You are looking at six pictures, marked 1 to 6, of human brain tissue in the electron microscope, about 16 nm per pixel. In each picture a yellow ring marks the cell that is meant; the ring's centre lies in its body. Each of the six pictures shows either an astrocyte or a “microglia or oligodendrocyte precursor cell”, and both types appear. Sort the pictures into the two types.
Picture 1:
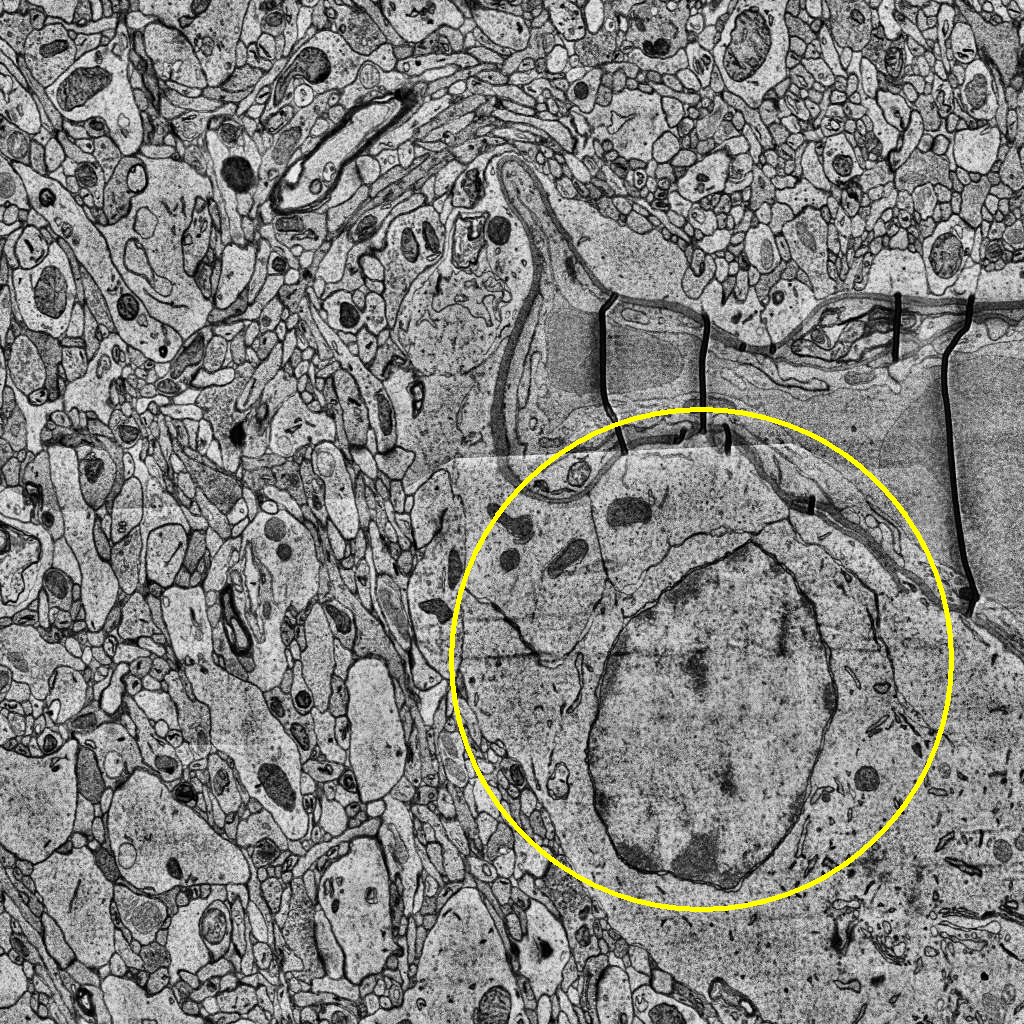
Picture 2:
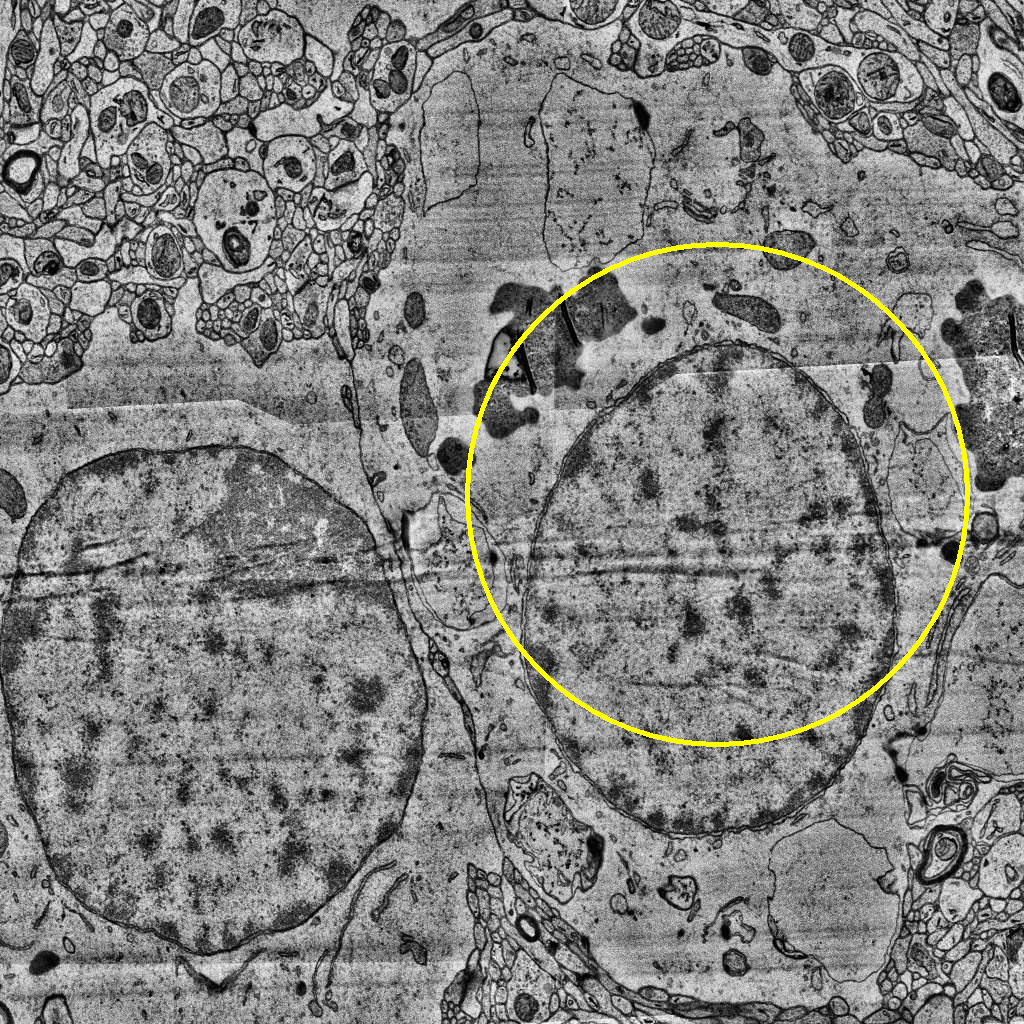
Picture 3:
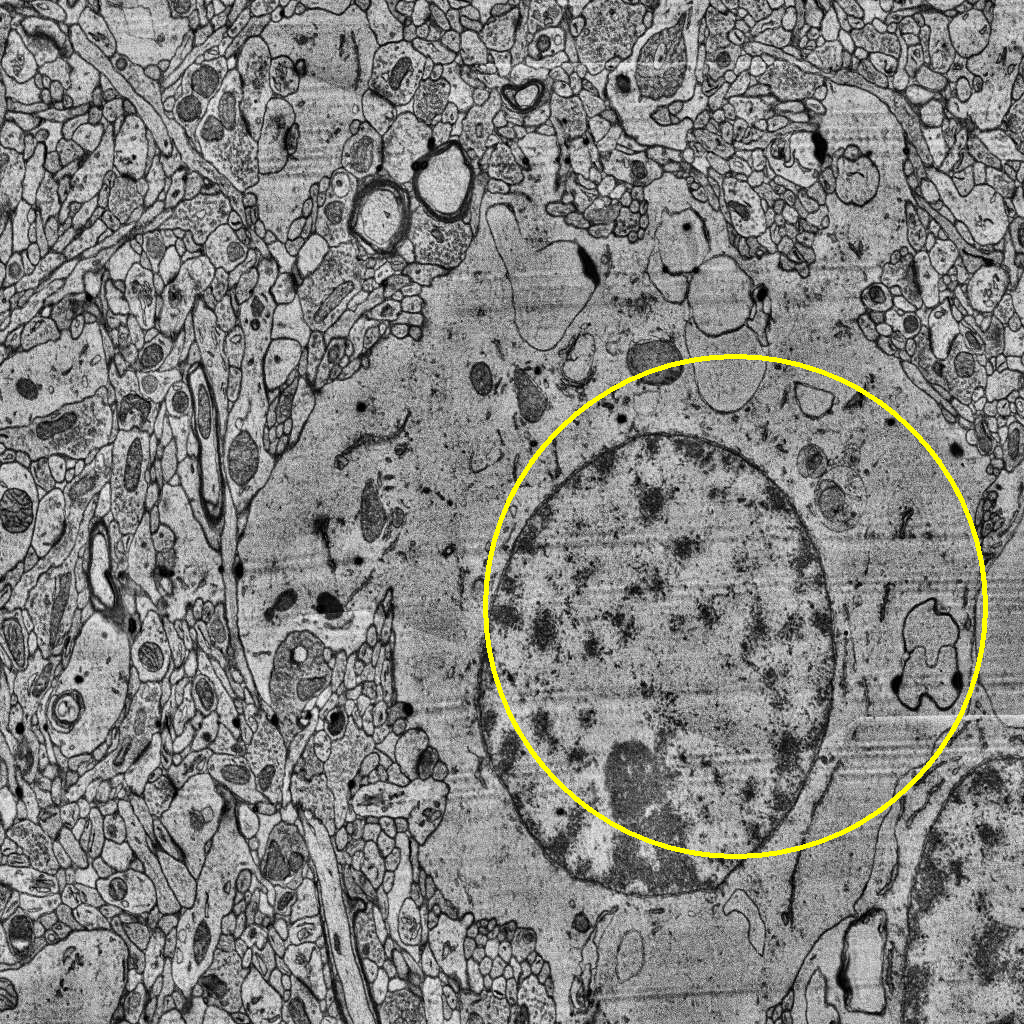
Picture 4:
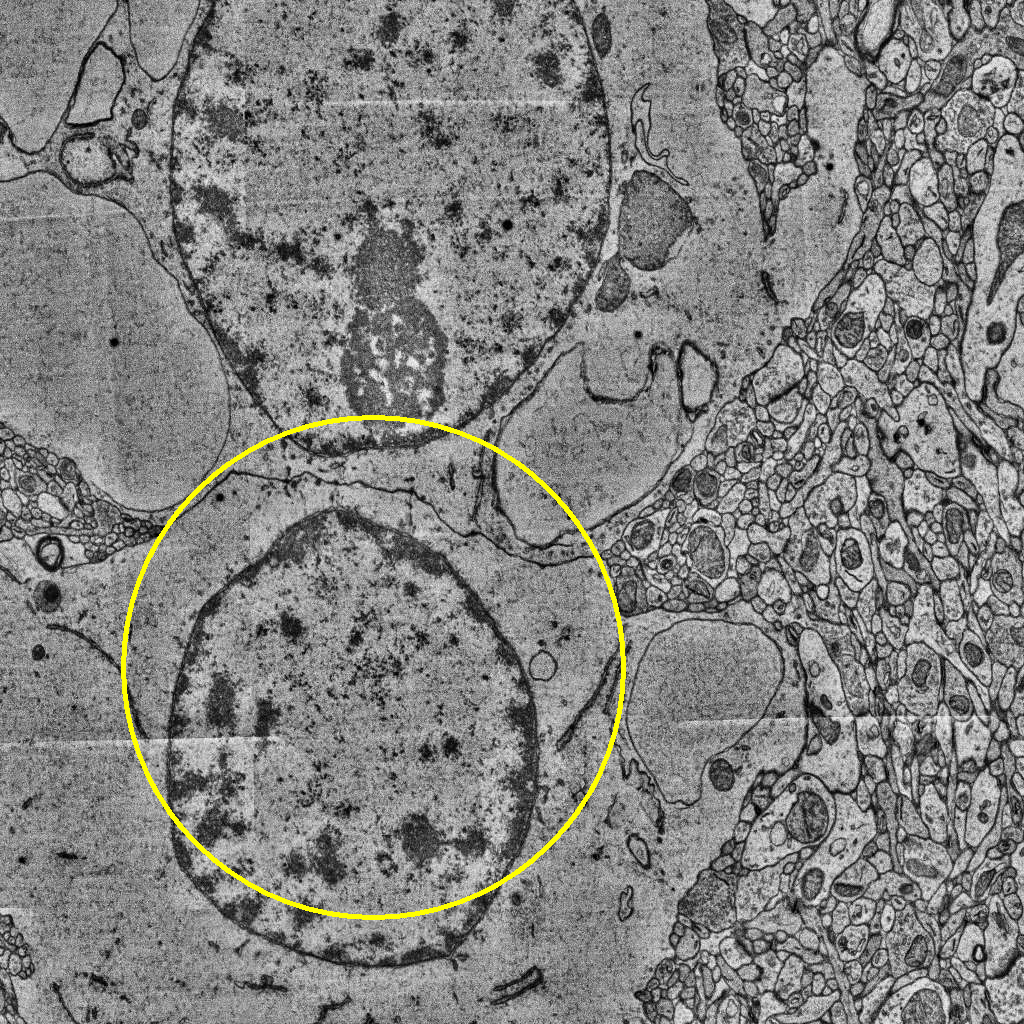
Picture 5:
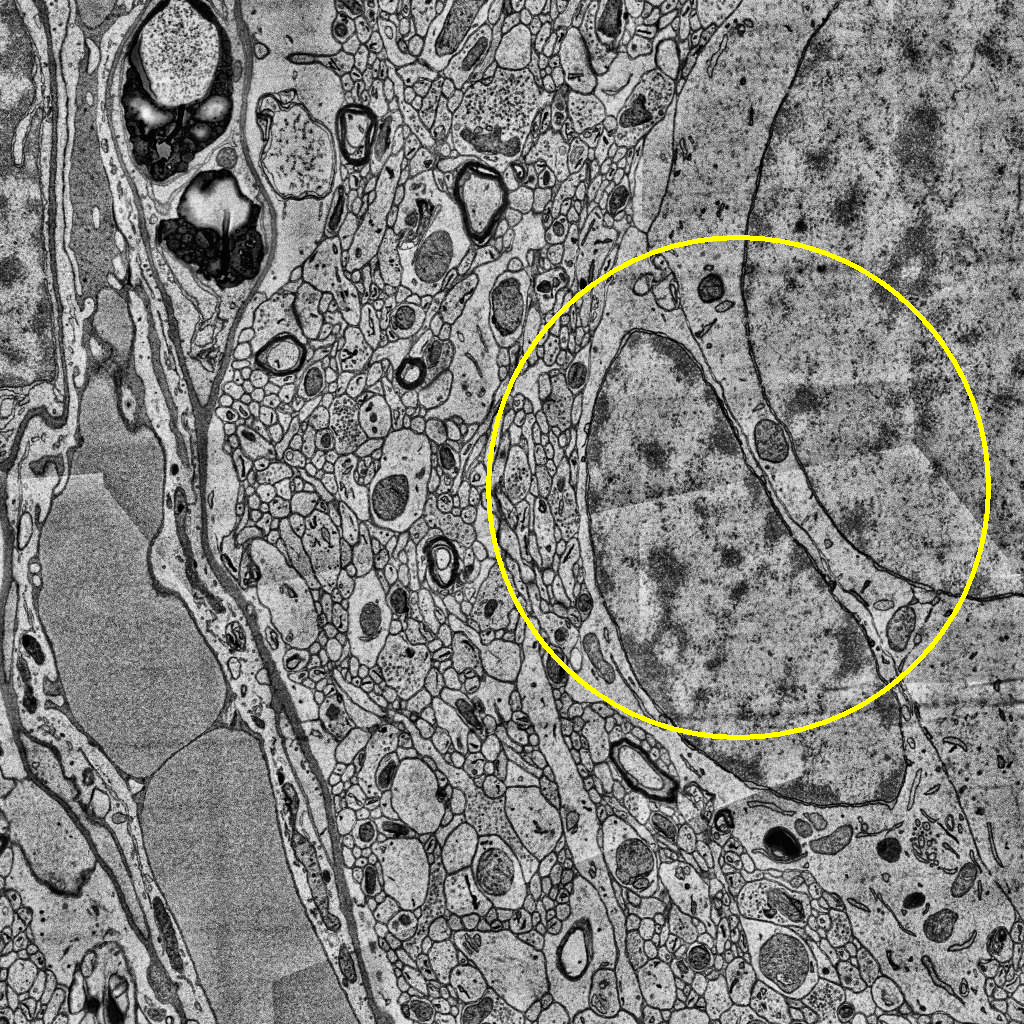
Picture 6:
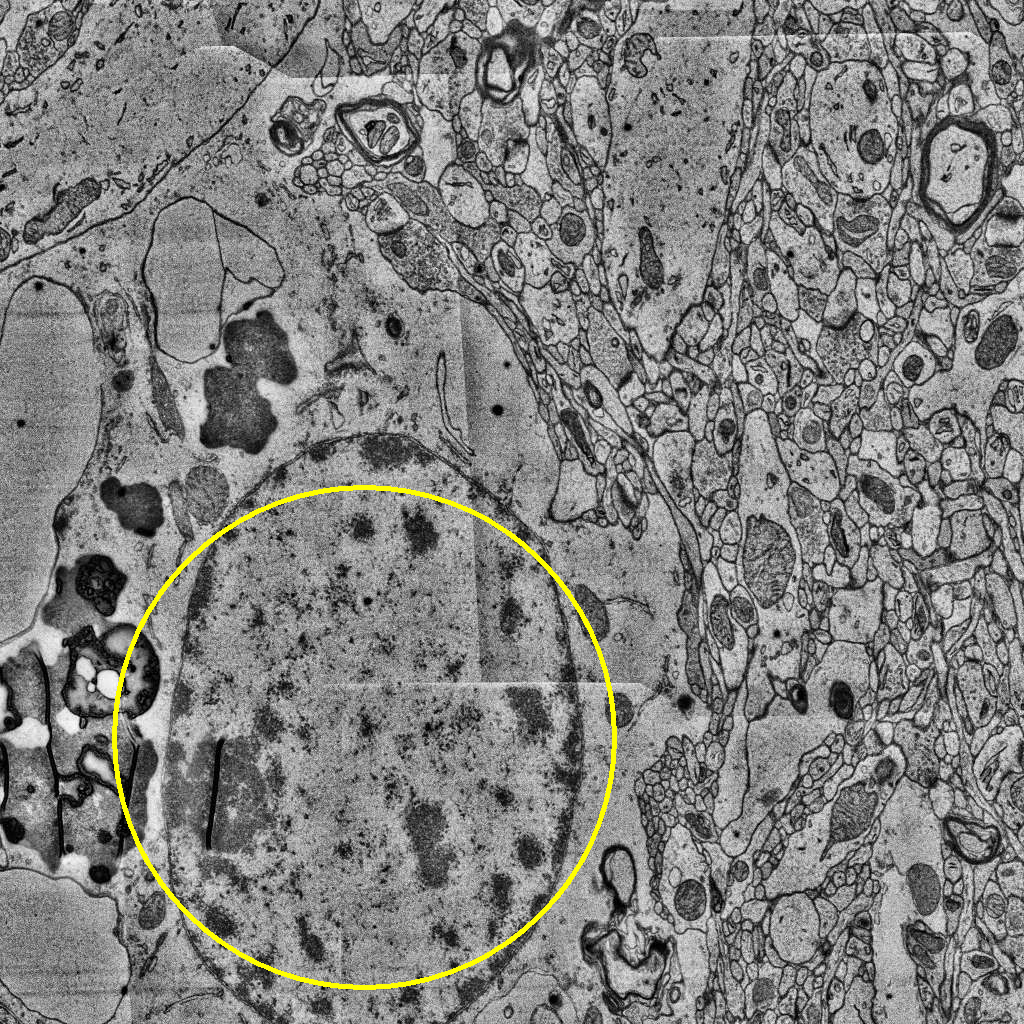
Pictures 2, 3, 4 and 6 show astrocytes; pictures 1 and 5 show “microglia or oligodendrocyte precursor cells”.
